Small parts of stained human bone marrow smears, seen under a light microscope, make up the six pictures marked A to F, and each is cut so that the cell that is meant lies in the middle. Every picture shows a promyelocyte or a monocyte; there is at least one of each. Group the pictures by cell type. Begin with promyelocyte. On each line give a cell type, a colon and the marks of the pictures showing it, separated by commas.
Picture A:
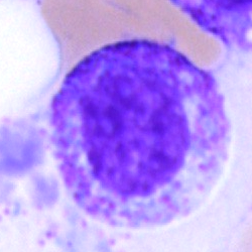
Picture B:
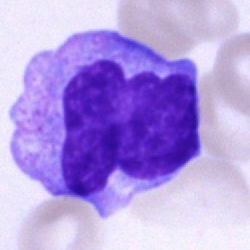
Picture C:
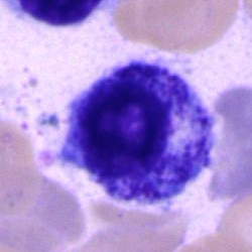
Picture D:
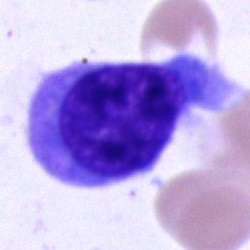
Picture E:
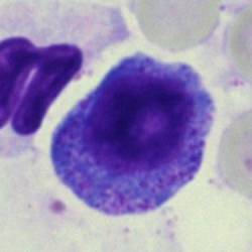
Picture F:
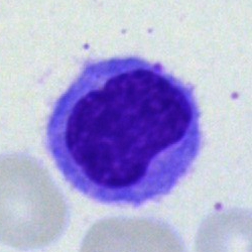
promyelocyte: A, C, D, E
monocyte: B, F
